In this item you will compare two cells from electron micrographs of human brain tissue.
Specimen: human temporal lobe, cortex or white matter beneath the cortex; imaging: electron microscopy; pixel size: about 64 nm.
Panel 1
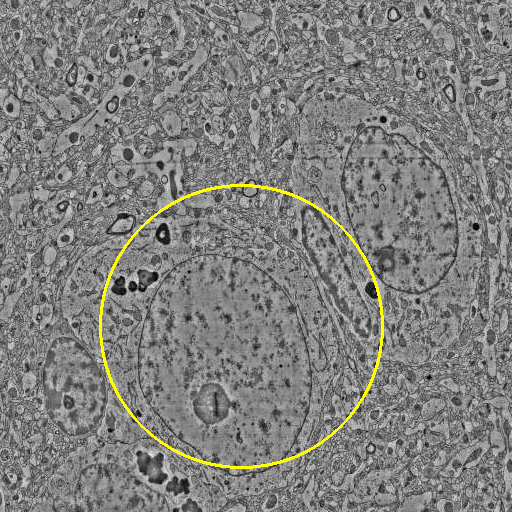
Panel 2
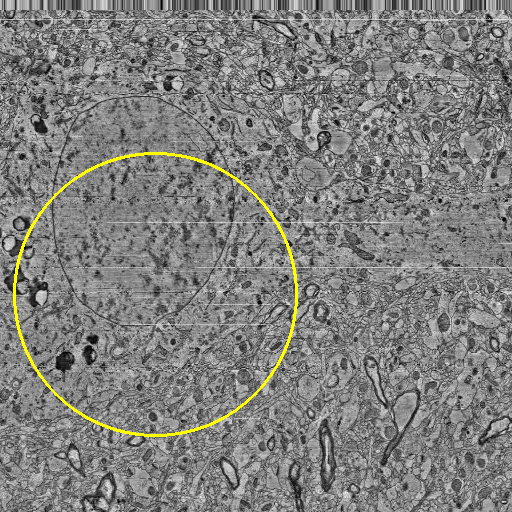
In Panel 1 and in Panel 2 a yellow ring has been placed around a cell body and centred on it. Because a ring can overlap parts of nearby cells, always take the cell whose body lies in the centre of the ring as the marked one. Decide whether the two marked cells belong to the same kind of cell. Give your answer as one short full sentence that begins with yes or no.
Yes, the two marked cells belong to the same kind of cell.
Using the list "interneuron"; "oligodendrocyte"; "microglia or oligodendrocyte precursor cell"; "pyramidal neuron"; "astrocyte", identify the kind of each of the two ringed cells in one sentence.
Each of the two rings surrounds a pyramidal neuron.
